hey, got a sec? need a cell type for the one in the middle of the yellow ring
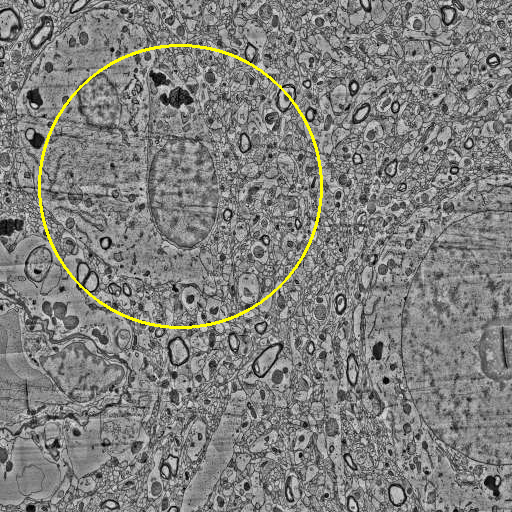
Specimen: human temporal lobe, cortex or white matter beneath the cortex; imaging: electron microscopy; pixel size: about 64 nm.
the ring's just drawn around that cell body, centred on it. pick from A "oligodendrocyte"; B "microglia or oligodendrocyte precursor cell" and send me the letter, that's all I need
A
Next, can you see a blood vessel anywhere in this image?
Yes.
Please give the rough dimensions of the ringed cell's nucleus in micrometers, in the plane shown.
The nucleus appears roughly 7 by 5 micrometres in this plane.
